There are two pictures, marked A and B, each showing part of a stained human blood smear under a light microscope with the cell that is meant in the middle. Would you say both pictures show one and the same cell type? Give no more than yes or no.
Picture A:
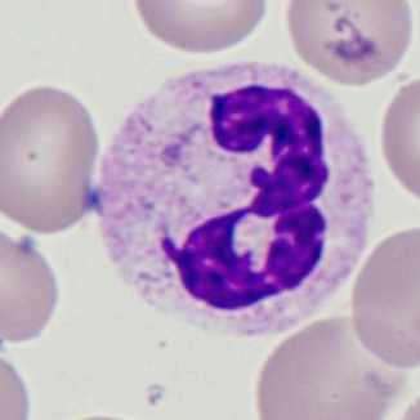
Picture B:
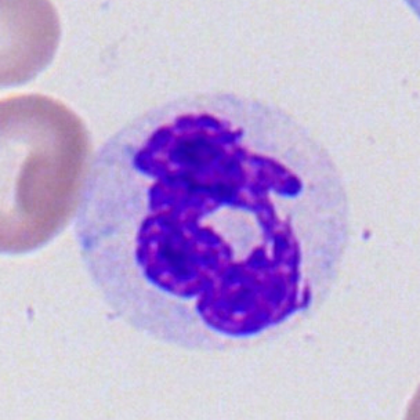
yes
